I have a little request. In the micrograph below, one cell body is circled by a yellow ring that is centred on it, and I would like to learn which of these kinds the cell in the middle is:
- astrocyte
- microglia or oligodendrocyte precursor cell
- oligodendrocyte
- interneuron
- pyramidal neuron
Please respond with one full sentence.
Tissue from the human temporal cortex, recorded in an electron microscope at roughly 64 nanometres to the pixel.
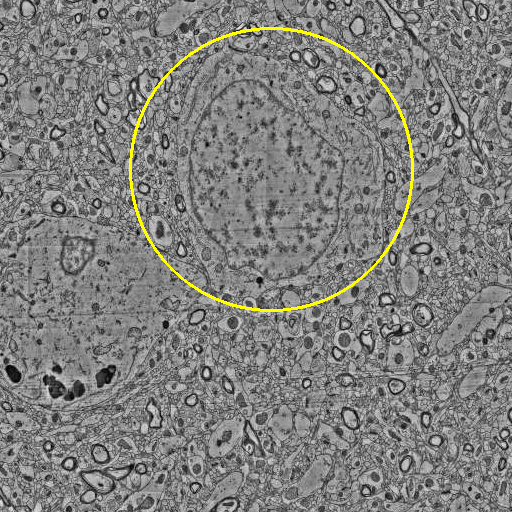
The cell sitting in the middle of the yellow ring in the micrograph is an interneuron.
